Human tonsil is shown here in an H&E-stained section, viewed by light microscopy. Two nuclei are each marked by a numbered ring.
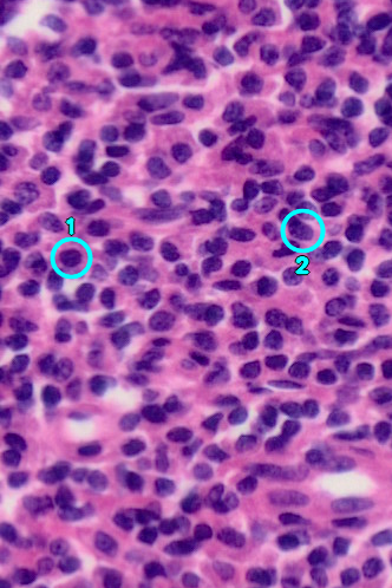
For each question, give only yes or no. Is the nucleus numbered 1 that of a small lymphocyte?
no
